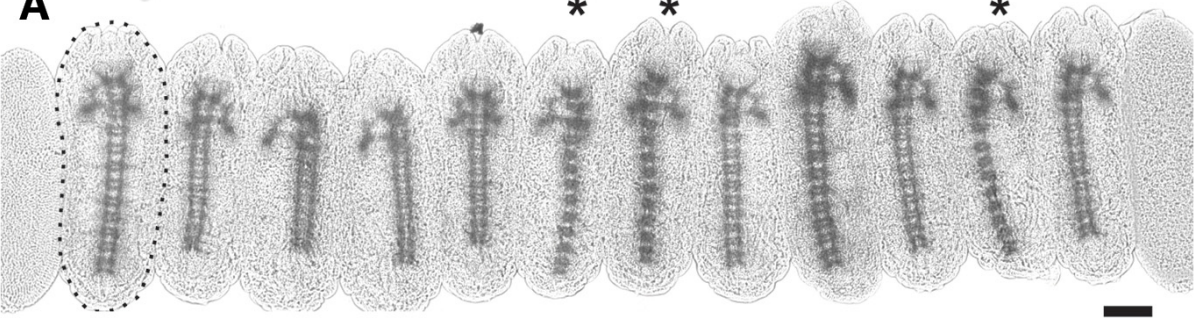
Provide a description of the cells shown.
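These are whole-mounted embryos lying in a row, each oval body holding a darkly stained ventral nerve cord running down its midline. Each nerve cord is a narrow band with repeated segmental crossbars that give it a ladder-like look, and it widens at the upper, anterior end into paired lobes. The surrounding tissue of the embryo is pale and finely textured.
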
